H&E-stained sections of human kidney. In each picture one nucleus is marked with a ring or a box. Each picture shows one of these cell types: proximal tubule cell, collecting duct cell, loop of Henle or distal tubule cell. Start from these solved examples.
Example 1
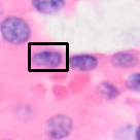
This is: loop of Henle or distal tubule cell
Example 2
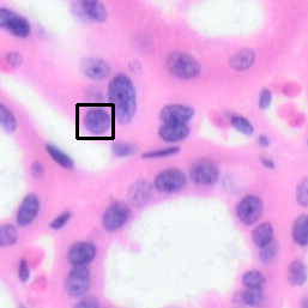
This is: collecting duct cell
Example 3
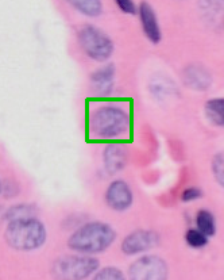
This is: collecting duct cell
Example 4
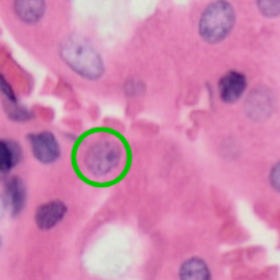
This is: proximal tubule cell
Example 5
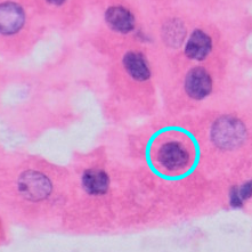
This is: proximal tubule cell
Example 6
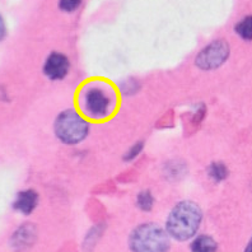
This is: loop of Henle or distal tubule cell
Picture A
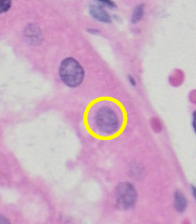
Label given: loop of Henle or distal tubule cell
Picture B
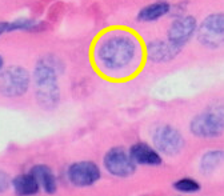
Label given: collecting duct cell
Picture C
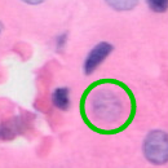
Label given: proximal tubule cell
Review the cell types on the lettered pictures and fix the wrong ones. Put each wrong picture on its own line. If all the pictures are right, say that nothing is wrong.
Wrong: A (loop of Henle or distal tubule cell); correct: proximal tubule cell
